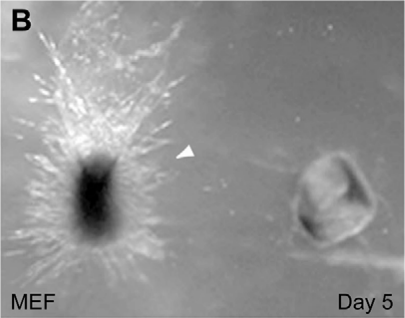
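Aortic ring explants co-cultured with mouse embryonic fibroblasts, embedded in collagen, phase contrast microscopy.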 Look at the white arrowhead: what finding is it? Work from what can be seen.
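Radial growth. Elongated bright cells extend outward in all directions from a dark central mass. The arrowhead sits among the outward-pointing cells at the edge of this spray.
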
